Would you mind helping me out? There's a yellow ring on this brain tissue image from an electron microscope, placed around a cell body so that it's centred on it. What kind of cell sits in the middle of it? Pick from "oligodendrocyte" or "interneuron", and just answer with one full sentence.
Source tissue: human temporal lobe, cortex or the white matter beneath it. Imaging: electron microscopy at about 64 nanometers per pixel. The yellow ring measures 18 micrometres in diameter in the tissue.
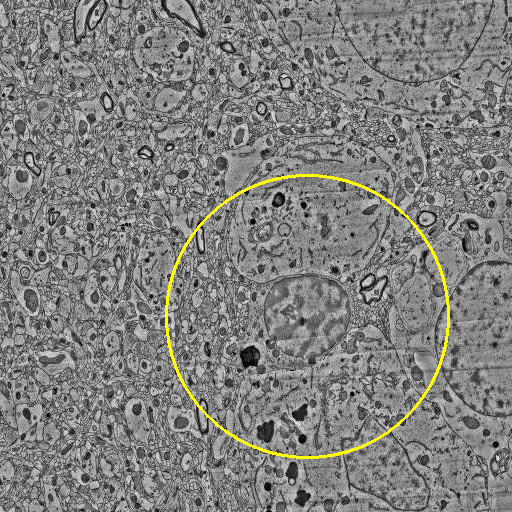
What sits in the middle of that yellow ring is an oligodendrocyte, from your choices.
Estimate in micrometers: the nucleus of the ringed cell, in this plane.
Approximately 6 micrometers across in this plane.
